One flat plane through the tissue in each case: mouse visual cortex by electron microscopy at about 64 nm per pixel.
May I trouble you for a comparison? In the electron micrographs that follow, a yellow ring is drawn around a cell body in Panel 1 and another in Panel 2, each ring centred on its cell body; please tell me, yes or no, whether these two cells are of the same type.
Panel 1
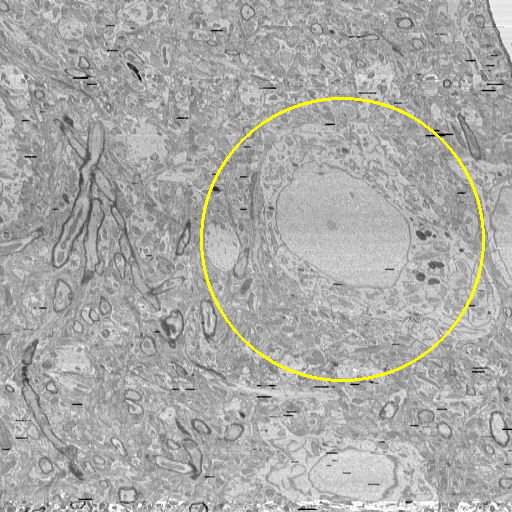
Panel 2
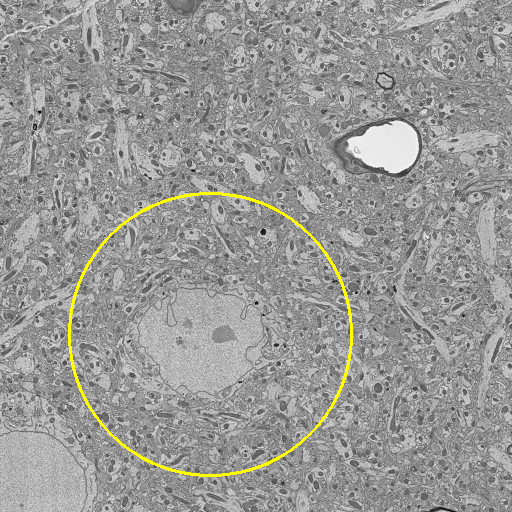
yes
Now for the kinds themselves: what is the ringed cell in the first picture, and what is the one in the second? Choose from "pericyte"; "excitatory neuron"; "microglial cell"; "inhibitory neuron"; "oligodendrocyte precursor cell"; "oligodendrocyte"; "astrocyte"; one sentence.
The cell in the first picture is an inhibitory neuron, and so is the one in the second.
